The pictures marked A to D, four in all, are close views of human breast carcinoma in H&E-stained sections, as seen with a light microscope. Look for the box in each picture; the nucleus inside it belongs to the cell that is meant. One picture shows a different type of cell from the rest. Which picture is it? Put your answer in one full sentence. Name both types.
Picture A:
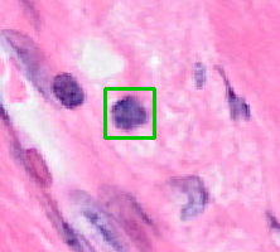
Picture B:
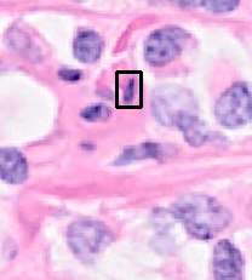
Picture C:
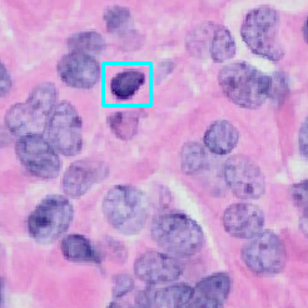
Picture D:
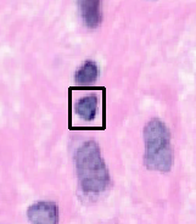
The different one is picture B; it shows an endothelial cell, whereas all the others show lymphocytes.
